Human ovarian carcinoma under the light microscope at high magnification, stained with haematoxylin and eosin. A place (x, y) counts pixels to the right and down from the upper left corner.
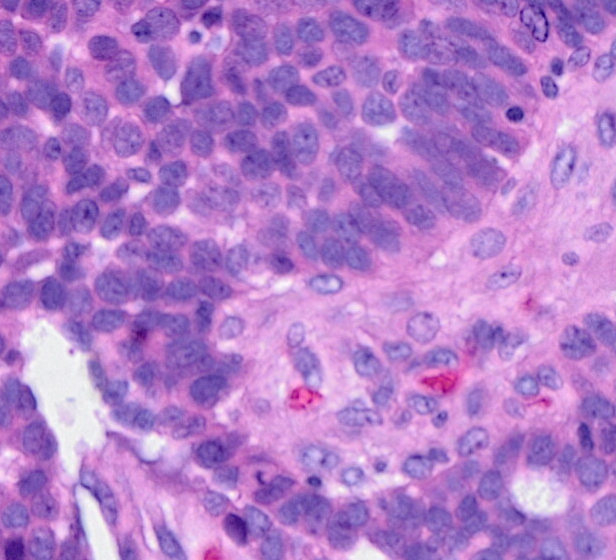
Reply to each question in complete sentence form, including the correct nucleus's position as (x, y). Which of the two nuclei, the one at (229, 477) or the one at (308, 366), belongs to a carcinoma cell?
Of the two candidate nuclei, the one at (229, 477) is that of a carcinoma cell.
